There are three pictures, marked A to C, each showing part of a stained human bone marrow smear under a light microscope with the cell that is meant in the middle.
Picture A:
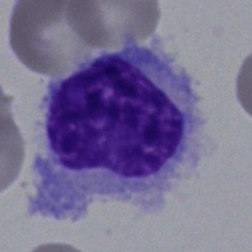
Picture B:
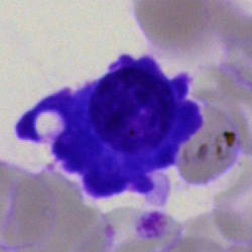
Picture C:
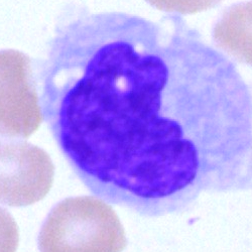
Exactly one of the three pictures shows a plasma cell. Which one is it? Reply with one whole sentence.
The plasma cell is the one in picture B.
